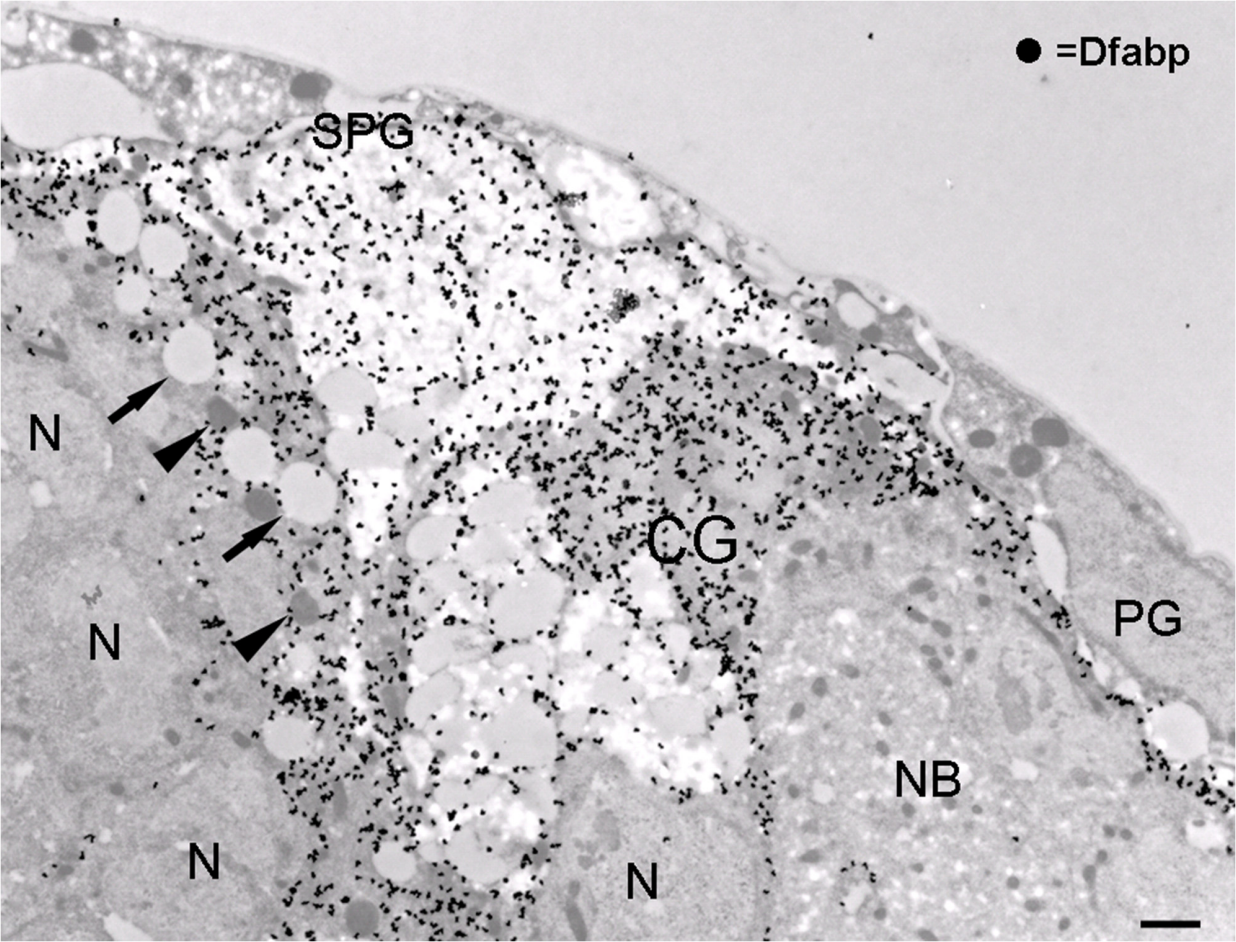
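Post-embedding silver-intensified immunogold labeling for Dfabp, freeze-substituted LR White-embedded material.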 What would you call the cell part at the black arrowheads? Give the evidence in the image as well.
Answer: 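The arrowheads point to small, dark grey, oval bodies. These bodies are smaller and denser than the neighbouring pale round bodies. That points to this answer: mitochondria.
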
